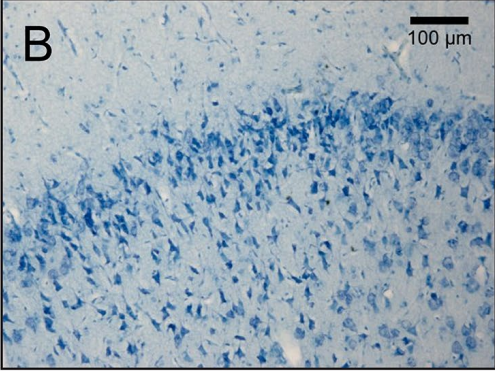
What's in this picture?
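Cerebral cortex with a band of neurons in which numerous cells show condensed chromatin. Many neuronal cell bodies are small, angular or triangular and stained intensely dark blue, so that nucleus and cytoplasm can hardly be told apart. They crowd in a dense band across the upper part of the field and are scattered more loosely below it. Paler, less condensed cells lie among them. The surrounding neuropil is pale blue and finely textured, with a few small elongated nuclei and thin vessel profiles. The band above the cell layer is paler and sparsely cellular.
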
